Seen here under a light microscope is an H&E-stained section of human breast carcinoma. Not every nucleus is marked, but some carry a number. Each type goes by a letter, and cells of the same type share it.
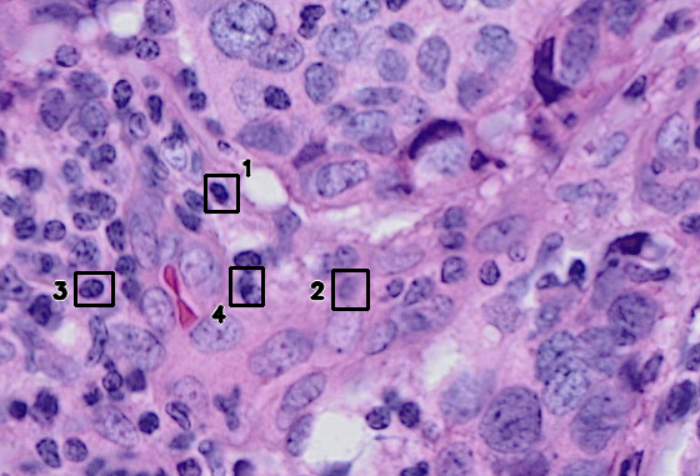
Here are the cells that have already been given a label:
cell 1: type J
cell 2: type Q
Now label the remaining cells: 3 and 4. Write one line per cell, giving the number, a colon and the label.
3: type J
4: type J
